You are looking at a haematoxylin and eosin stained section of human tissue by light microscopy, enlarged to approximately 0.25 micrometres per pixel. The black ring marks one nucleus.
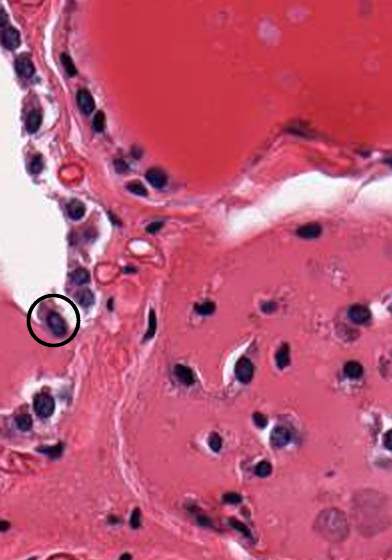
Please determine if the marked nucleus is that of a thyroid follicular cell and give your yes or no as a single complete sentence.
Yes, the nucleus that is marked belongs to a thyroid follicular cell.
